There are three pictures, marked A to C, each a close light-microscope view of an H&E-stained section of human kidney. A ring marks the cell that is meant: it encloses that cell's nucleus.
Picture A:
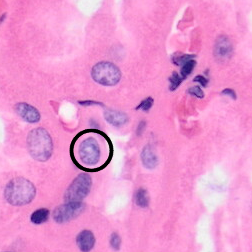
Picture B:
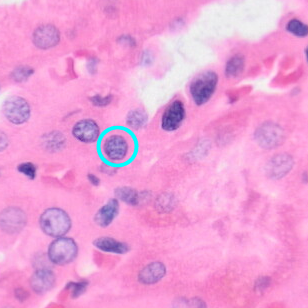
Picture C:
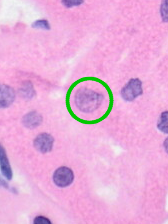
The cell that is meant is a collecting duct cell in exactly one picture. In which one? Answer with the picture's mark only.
A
